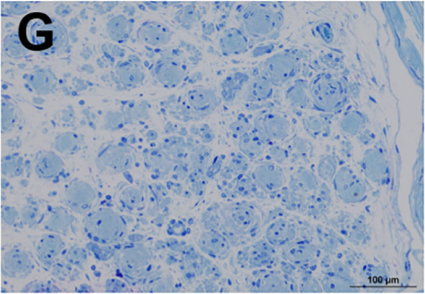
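This is a semi-thin cross-section of a peripheral nerve fascicle stained blue, showing many onion bulbs. Numerous round profiles consist of concentric pale layers of thin cell processes wrapped around a central fiber. Dark blue myelin rings are sparse, and few large myelinated fibers are seen. A thin layered sheath bounds the fascicle at the right edge.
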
